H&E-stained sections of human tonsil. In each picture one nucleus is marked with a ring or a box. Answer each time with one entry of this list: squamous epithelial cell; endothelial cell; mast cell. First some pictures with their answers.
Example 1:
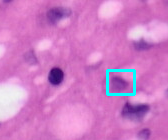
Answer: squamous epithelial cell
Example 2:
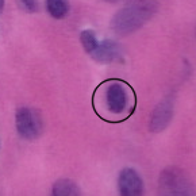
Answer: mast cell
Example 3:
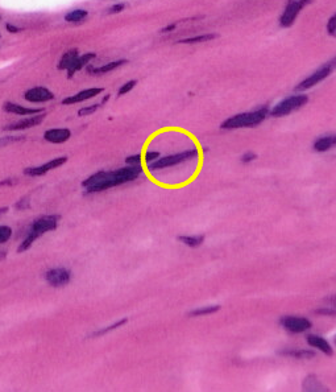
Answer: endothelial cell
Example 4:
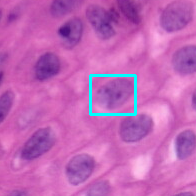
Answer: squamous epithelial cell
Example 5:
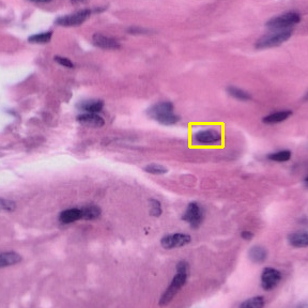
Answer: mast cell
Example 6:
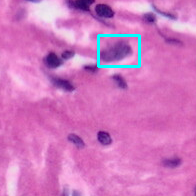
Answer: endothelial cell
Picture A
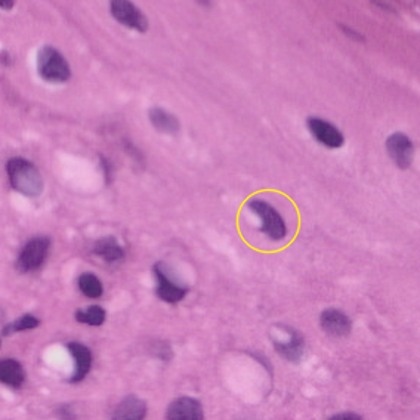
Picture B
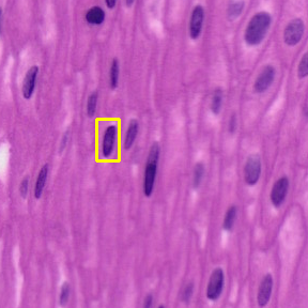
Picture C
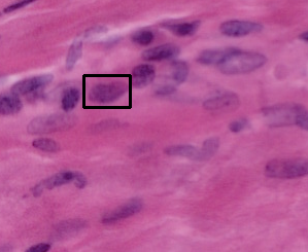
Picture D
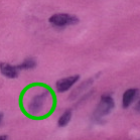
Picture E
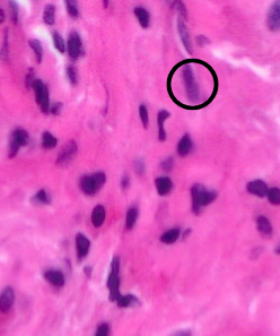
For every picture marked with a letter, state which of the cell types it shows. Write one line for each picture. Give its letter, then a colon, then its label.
A: squamous epithelial cell
B: squamous epithelial cell
C: endothelial cell
D: endothelial cell
E: endothelial cell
